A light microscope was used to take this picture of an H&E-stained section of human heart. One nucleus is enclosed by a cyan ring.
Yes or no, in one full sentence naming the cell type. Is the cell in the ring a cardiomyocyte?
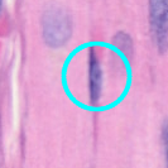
No, rather than being a cardiomyocyte, the cell in the ring is an endothelial cell.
